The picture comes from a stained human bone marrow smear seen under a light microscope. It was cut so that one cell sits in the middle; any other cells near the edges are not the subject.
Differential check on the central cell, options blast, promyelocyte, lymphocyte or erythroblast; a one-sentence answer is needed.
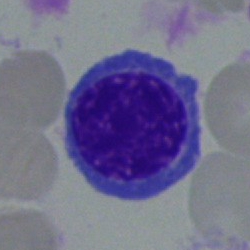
By classification, the middle cell of this crop is an erythroblast.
